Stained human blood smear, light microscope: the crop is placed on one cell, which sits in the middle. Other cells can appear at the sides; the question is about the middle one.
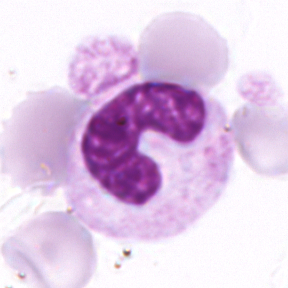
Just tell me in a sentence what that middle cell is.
At the crop's centre, the cell is a band neutrophil.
